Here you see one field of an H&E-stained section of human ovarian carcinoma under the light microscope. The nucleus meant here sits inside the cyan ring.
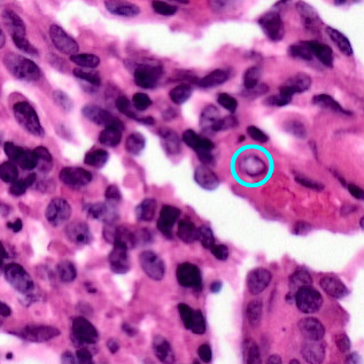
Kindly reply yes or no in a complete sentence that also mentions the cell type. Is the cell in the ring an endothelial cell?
Yes, an endothelial cell is the identity of the cell in the ring in this section.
